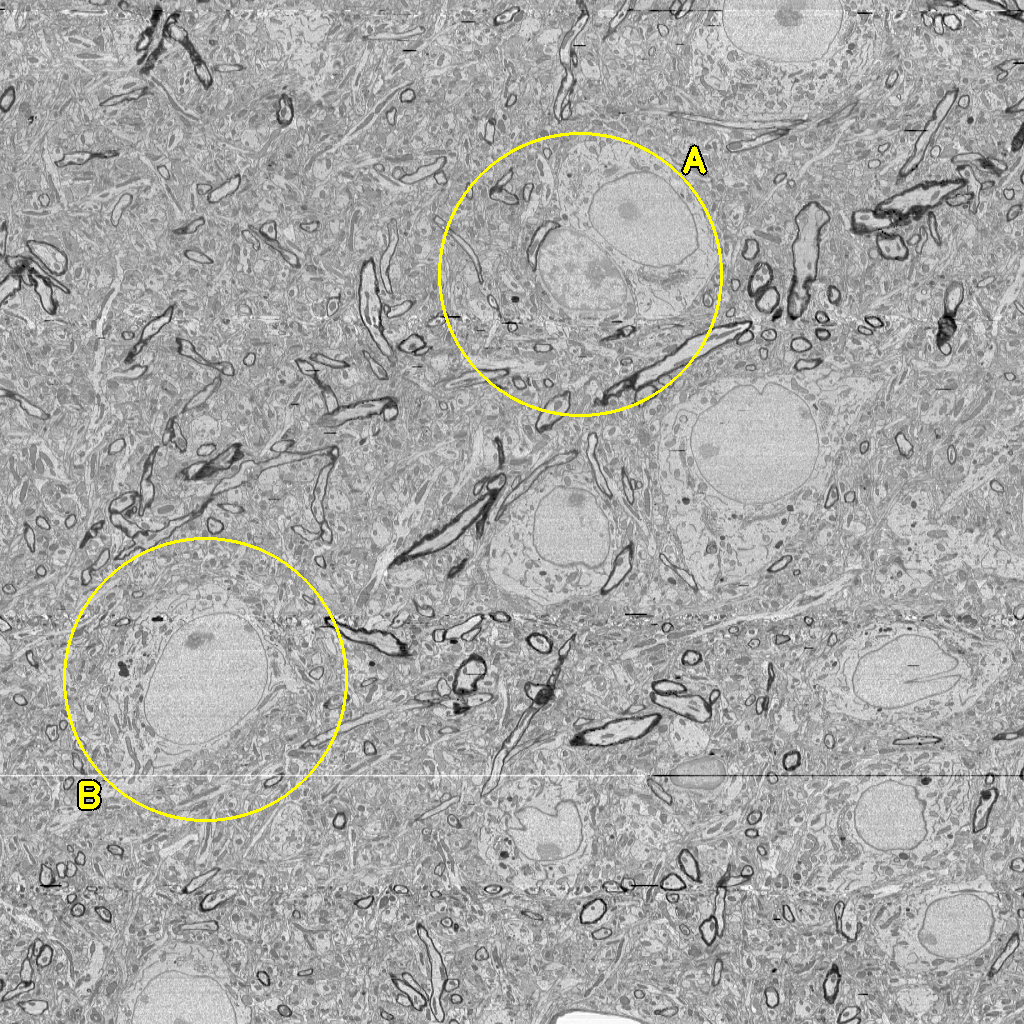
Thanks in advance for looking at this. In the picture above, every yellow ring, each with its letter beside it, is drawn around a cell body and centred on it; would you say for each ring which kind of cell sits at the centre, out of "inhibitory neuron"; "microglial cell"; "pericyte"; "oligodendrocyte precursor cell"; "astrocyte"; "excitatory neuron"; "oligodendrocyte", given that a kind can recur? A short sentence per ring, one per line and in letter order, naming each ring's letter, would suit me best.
The cell body in ring A belongs to an oligodendrocyte.
The cell body in ring B belongs to an excitatory neuron.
